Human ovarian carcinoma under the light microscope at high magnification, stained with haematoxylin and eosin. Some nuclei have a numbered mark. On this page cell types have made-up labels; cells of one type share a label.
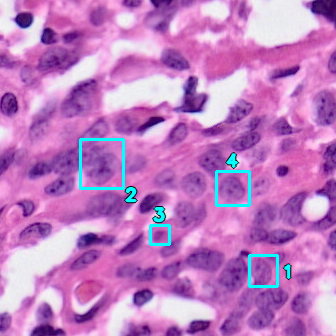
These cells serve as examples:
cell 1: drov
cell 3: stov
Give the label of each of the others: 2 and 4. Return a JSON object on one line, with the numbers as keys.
{"2": "drov", "4": "drov"}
